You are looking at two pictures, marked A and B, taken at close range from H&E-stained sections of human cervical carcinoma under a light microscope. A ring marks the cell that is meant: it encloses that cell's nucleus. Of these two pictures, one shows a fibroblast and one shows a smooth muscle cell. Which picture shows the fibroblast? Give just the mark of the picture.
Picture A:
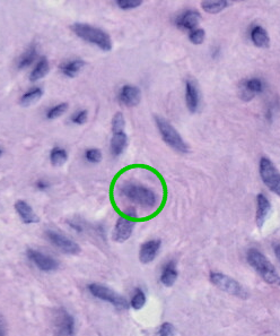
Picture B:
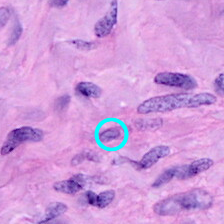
A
